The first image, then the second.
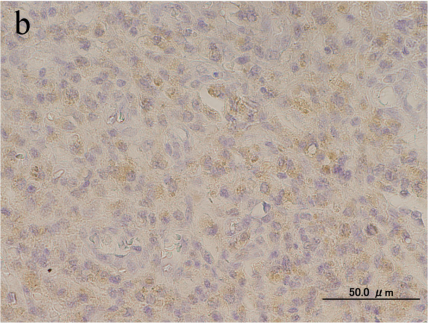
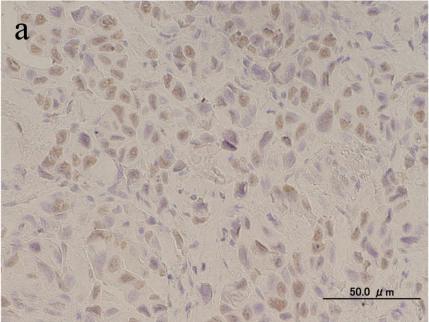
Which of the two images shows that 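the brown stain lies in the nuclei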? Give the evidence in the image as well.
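First image: nuclei are blue while brown granules lie in the cytoplasm. Second image: many nuclei are brown with pale cytoplasm around them. The answer: the second image.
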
